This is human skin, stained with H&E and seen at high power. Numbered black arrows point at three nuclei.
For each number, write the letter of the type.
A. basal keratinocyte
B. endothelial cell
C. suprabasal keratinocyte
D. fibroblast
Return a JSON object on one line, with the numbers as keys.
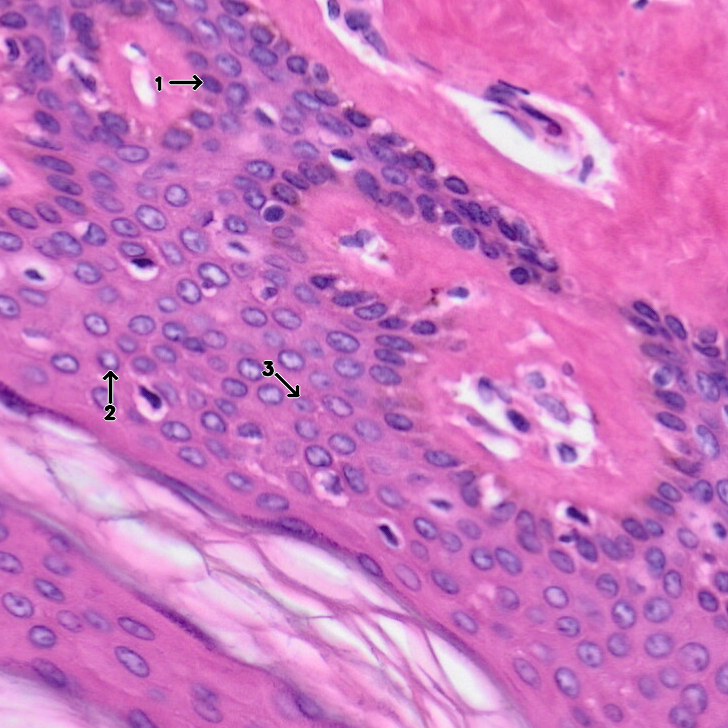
{"1": "A", "2": "C", "3": "C"}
